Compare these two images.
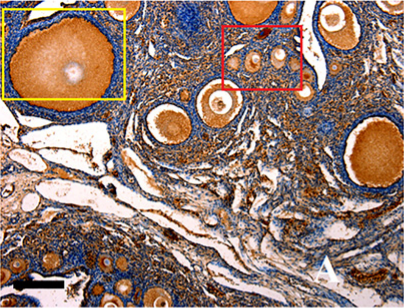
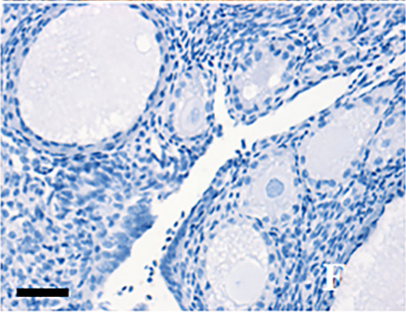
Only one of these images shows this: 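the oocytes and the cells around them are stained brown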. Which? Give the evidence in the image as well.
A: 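The first image. Second image: oocytes and surrounding cells are pale with only blue nuclear counterstain. First image: oocytes are deep brown and the surrounding tissue is brown-tinged.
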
